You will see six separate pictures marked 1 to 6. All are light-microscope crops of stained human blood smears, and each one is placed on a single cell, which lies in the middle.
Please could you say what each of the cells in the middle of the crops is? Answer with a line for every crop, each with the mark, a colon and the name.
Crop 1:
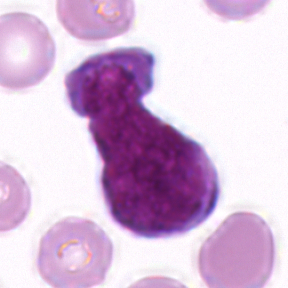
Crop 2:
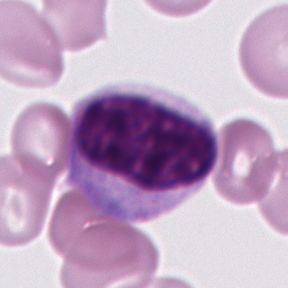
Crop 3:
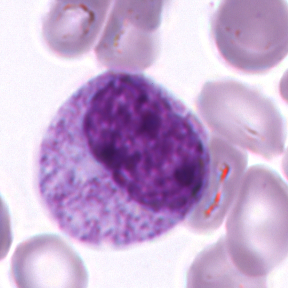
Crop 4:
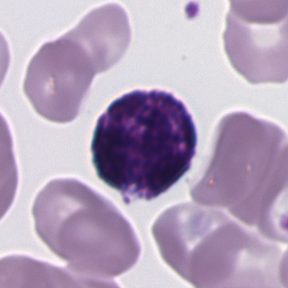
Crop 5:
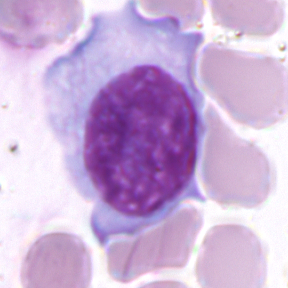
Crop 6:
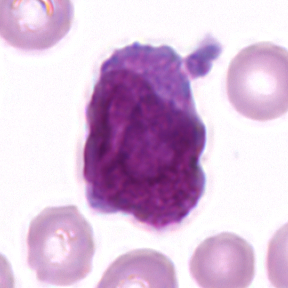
1: atypical promyelocyte
2: metamyelocyte
3: metamyelocyte
4: basophil
5: plasma cell
6: atypical promyelocyte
